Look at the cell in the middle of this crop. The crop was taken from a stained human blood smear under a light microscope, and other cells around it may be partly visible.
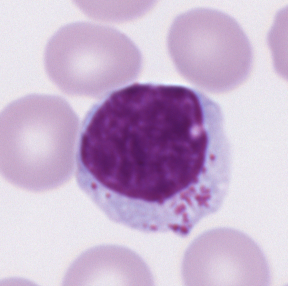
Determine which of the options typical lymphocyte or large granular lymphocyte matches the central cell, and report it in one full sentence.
The single cell at the center of the crop is a large granular lymphocyte.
